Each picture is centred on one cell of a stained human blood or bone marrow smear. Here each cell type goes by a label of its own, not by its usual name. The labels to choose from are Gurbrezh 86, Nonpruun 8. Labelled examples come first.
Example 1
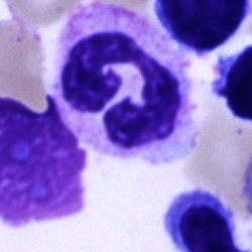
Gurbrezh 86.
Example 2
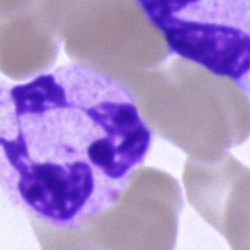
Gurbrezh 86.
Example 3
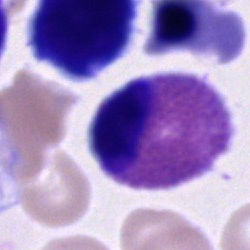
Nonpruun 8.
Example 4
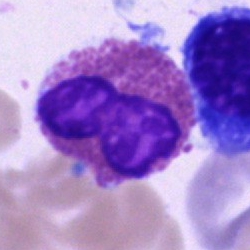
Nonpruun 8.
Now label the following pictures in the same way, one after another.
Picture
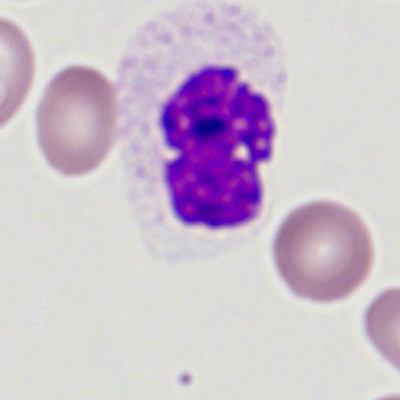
Gurbrezh 86.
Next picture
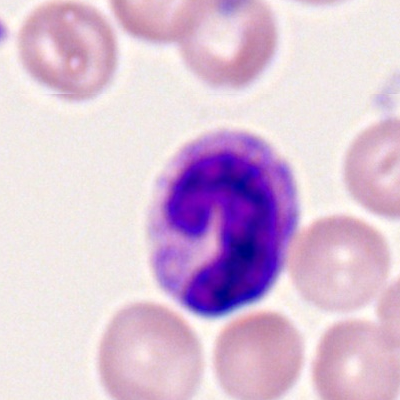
Gurbrezh 86.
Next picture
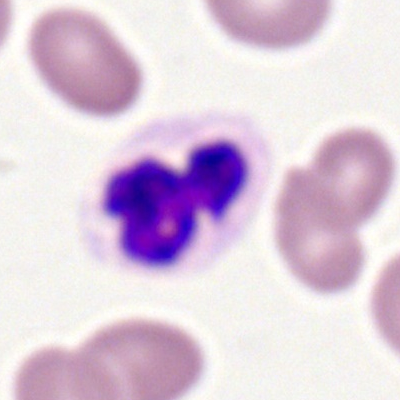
Gurbrezh 86.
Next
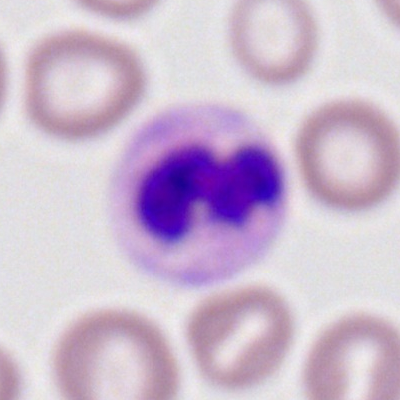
Gurbrezh 86.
